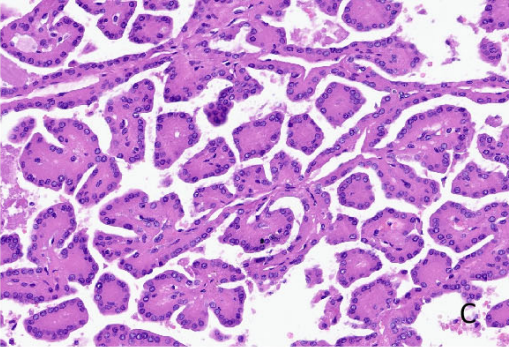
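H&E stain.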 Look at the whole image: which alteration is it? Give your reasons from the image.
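Inverted linear nuclear location. Nuclei form a single line near the luminal edge of the cells, away from the stromal cores. Cells have abundant pink cytoplasm on the basal side of the nuclei. Nuclei are small, round and uniform.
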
